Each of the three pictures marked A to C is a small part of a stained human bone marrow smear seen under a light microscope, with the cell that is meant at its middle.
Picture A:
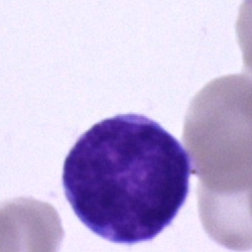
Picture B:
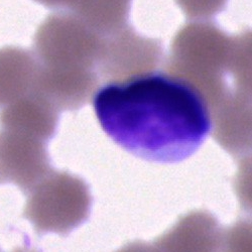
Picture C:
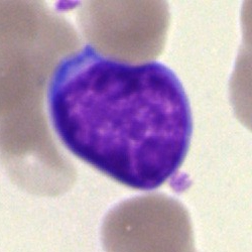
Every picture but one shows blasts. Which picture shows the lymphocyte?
B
